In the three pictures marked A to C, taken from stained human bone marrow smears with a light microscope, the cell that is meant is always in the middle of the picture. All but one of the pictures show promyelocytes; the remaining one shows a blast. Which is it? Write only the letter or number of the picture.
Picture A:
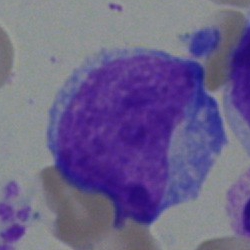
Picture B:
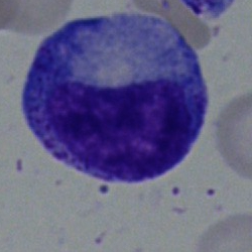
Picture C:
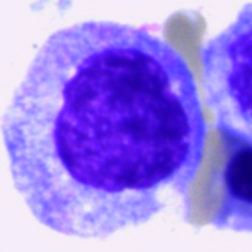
A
